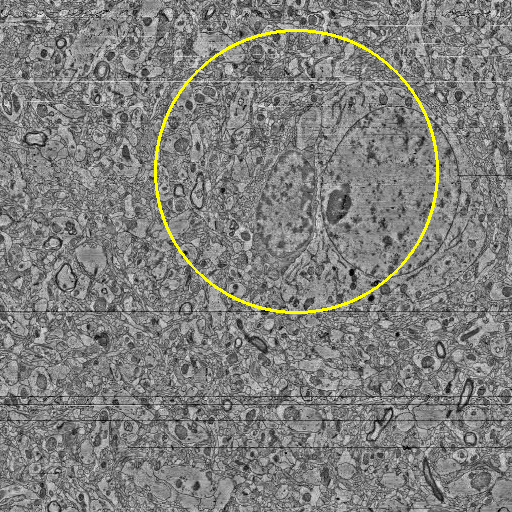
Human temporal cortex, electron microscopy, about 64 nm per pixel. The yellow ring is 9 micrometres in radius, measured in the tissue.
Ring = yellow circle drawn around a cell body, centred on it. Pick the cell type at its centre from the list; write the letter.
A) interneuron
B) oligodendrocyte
B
